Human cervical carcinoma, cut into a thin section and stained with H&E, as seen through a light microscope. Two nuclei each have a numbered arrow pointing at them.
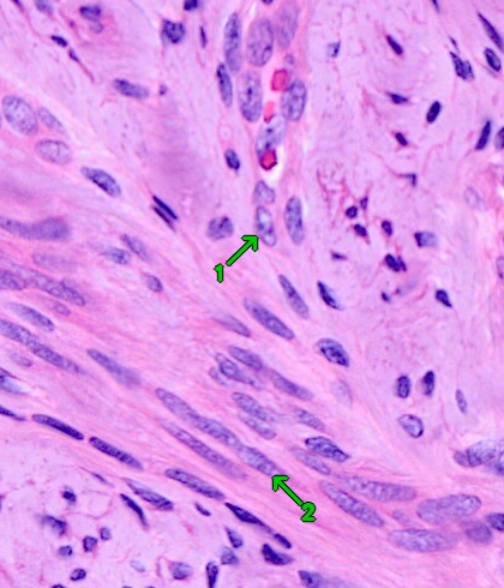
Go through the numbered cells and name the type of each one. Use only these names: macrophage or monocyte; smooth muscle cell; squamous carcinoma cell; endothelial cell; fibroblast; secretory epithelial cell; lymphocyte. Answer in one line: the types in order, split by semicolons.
endothelial cell; smooth muscle cell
